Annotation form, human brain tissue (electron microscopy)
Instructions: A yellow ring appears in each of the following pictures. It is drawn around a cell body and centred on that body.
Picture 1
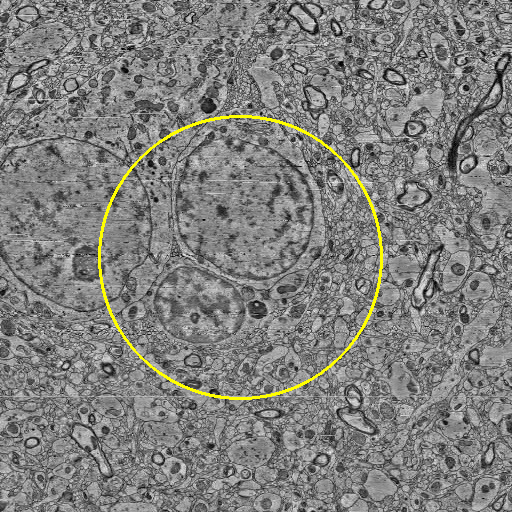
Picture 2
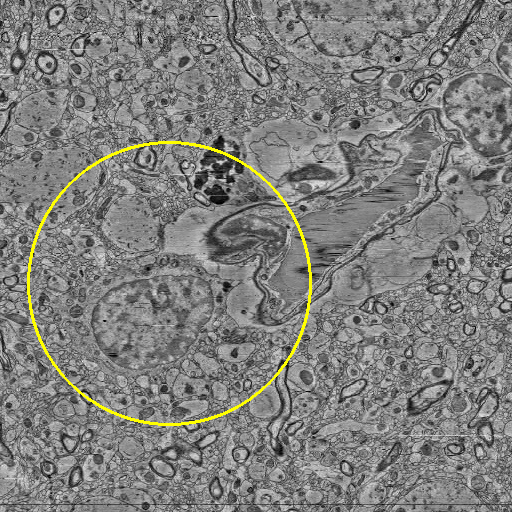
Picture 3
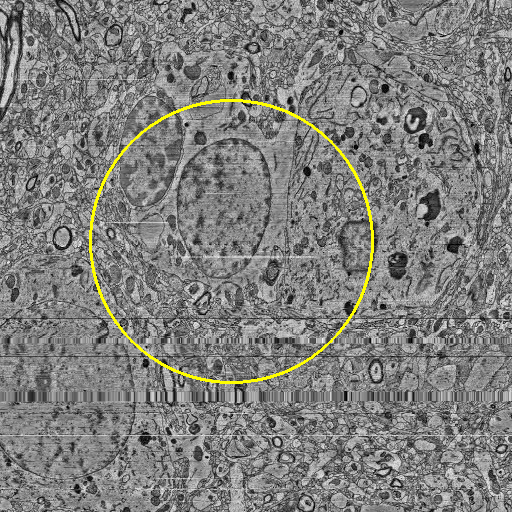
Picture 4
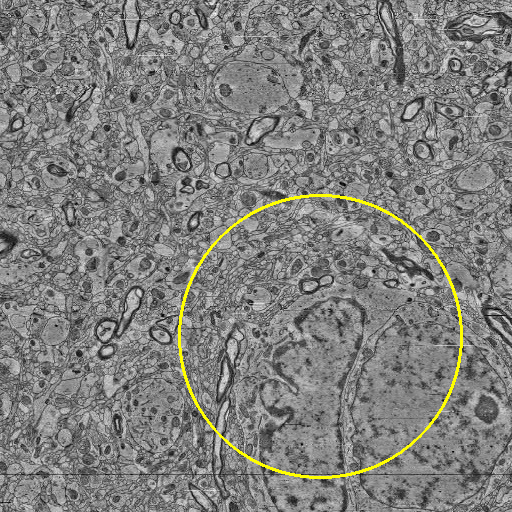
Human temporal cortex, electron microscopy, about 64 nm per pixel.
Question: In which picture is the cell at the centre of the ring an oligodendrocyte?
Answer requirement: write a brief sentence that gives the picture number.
The cell at the centre of the ring in Picture 2 is the one asked for.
